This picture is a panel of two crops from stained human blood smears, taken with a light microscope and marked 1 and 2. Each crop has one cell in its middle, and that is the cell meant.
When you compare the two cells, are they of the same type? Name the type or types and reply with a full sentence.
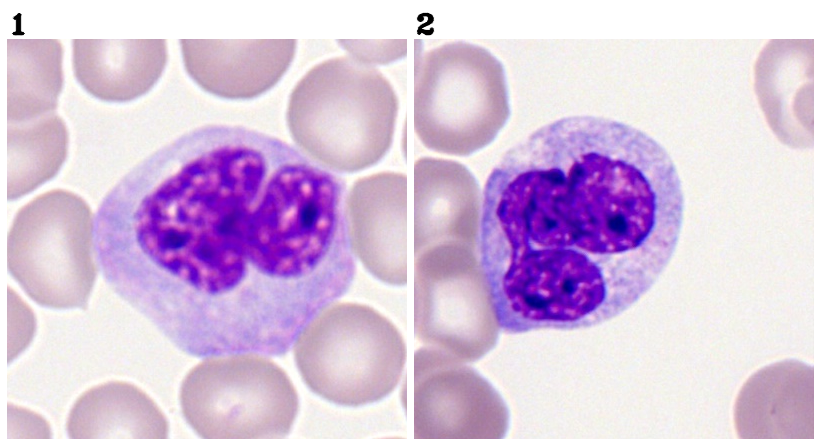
Yes, both crops contain monocytes at their centres.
